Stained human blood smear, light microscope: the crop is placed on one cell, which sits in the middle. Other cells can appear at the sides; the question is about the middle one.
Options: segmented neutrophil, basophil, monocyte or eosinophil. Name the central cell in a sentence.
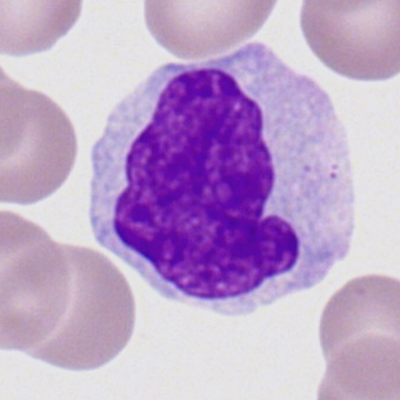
Occupying the centre of the crop is a monocyte.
